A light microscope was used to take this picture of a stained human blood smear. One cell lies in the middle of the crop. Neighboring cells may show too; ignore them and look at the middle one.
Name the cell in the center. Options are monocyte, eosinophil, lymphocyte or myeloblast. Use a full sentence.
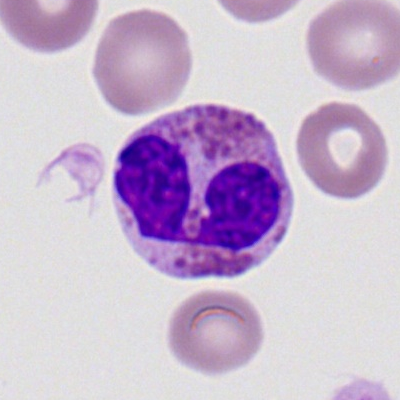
The crop centres on a single cell, and that cell is an eosinophil.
